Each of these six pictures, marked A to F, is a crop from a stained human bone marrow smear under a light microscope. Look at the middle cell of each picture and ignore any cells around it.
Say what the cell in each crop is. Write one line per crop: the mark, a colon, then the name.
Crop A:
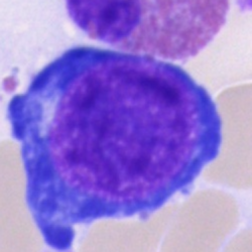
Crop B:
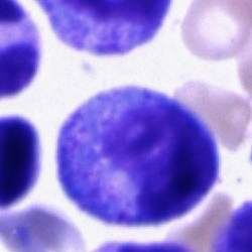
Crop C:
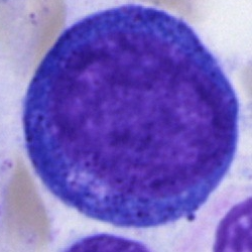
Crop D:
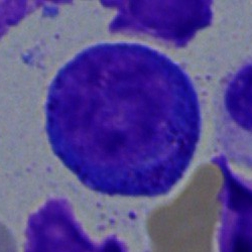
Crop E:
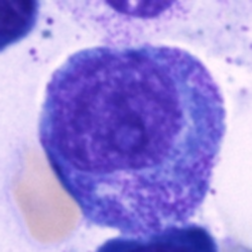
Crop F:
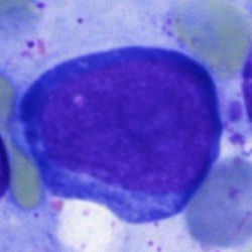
A: proerythroblast
B: promyelocyte
C: proerythroblast
D: proerythroblast
E: promyelocyte
F: proerythroblast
